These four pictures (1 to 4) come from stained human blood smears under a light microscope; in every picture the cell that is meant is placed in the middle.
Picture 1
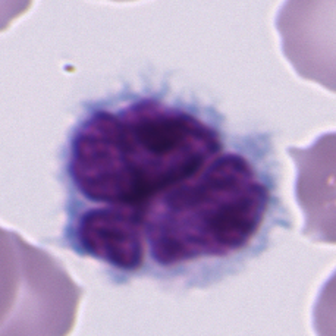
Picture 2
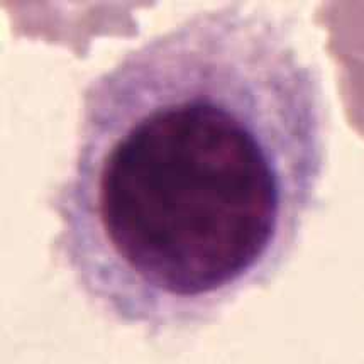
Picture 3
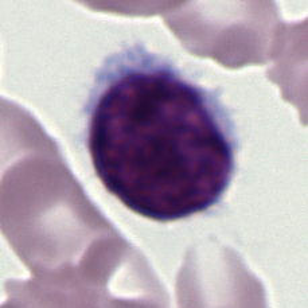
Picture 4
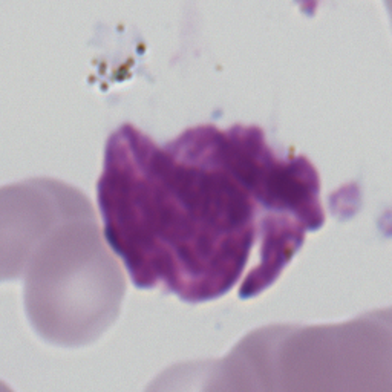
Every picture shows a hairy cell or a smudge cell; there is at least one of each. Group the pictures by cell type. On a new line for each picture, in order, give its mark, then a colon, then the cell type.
1: hairy cell
2: hairy cell
3: hairy cell
4: smudge cell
